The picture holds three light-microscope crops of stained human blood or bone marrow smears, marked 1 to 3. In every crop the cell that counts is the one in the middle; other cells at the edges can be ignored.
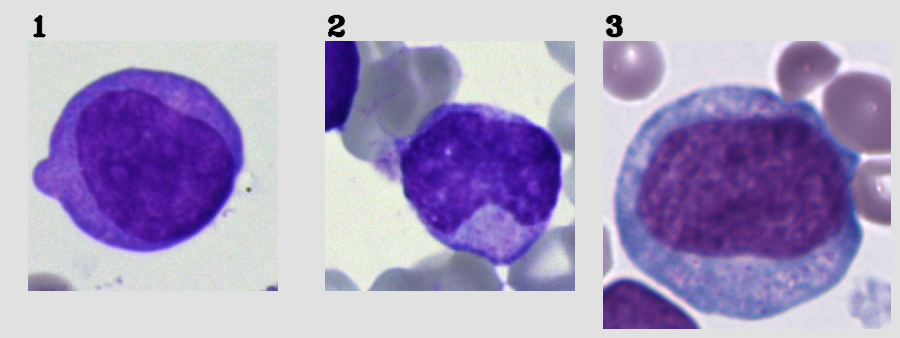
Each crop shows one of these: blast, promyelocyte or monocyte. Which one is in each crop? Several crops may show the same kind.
1: blast
2: monocyte
3: promyelocyte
